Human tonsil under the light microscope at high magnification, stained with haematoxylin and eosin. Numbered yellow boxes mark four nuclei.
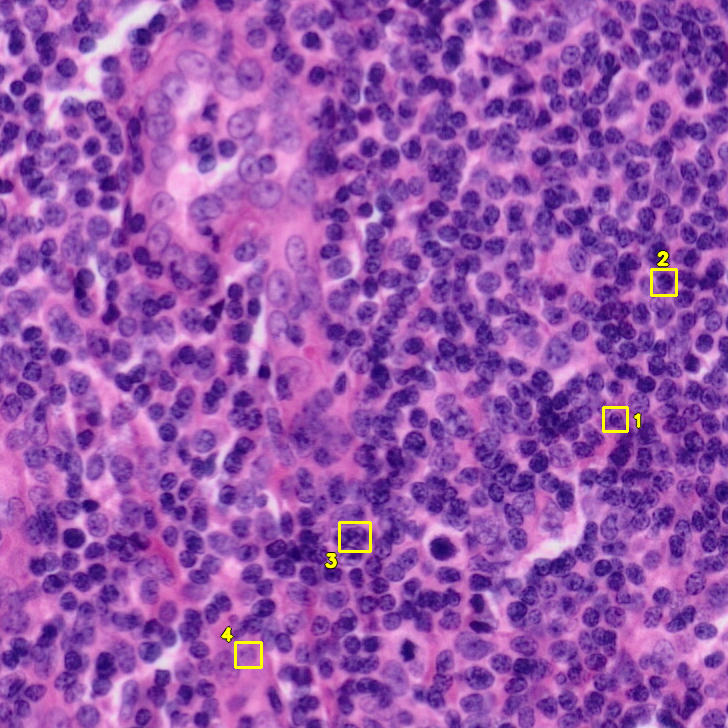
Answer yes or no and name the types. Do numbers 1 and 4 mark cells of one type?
No, classify cell 1 as a small lymphocyte and cell 4 as an endothelial cell.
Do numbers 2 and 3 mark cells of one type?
Yes, cell 2 is counted among the small lymphocytes, as is cell 3.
